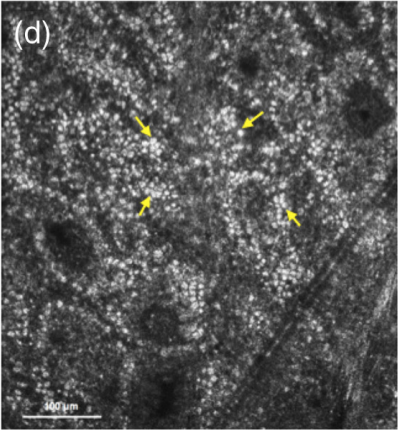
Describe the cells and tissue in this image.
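Epidermis seen face-on, filled with densely packed small round bright cells that give the field a fine, speckled texture. Scattered among them are a few roundish dark areas with blurred edges. The cells are roughly even in size, and some stand out as brighter spots than those around them, mostly in the upper middle of the field. Toward the lower right a couple of faint dark lines run diagonally across the field. No clear bands or large-scale network are yet formed at this level; the pattern is mainly a dense mosaic of reflective cells.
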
